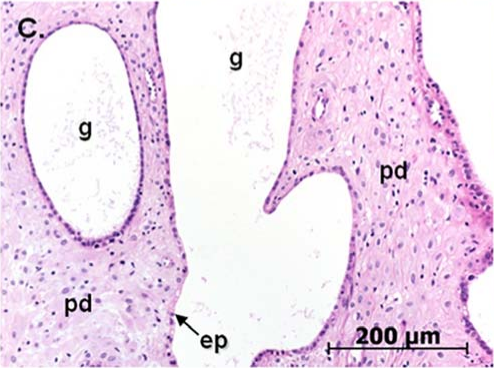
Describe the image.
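Endometrial glands lined by a thin, low epithelium sit within a stroma of pre-decidual cells, which are enlarged, rounded to polygonal and filled with abundant pink cytoplasm around round nuclei. These stromal cells lie in sheets, far less crowded than ordinary spindle-shaped stroma, with small vessels scattered among them.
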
